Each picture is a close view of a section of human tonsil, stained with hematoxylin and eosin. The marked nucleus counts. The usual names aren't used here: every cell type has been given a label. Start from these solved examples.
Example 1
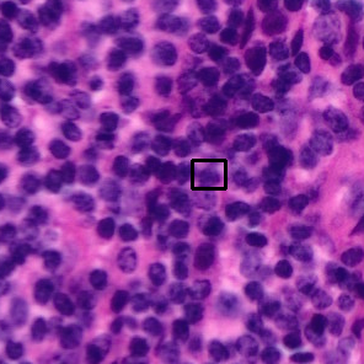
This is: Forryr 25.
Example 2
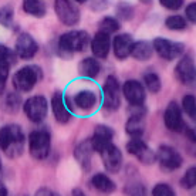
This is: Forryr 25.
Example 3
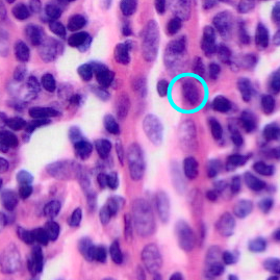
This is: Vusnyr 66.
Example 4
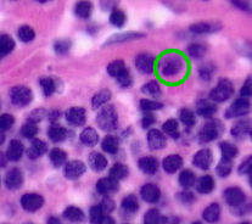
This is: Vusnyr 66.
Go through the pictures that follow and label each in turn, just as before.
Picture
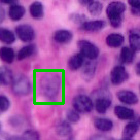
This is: Vusnyr 66.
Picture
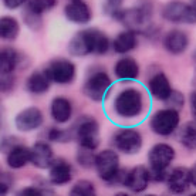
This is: Forryr 25.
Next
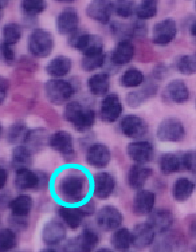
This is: Forryr 25.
